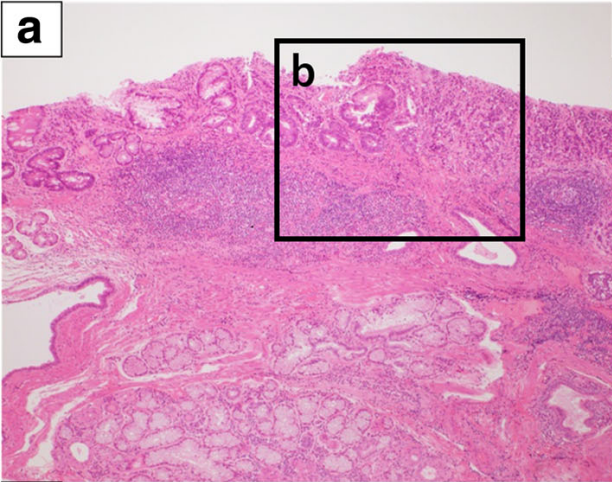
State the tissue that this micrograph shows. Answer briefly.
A: Barrett’s epithelium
